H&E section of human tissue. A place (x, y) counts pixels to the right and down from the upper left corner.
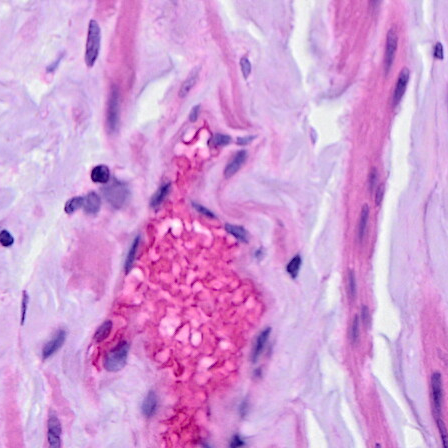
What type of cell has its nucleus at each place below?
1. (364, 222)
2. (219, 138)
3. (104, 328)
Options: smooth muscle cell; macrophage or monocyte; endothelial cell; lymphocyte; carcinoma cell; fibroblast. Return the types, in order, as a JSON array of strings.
["smooth muscle cell", "endothelial cell", "endothelial cell"]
